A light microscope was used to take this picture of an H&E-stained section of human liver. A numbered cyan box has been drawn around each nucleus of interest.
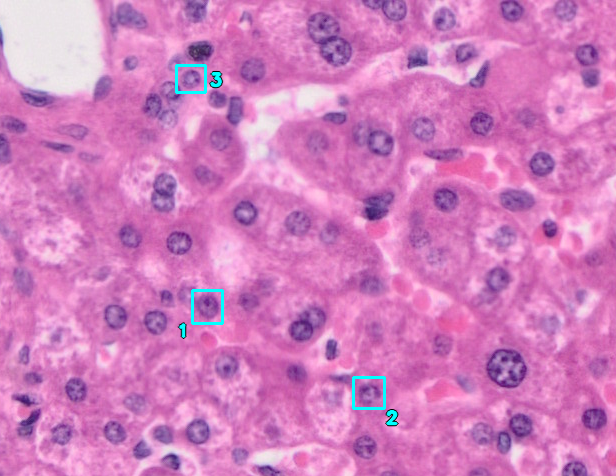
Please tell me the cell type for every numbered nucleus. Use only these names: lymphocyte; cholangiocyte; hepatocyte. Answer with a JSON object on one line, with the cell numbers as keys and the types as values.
{"1": "hepatocyte", "2": "hepatocyte", "3": "cholangiocyte"}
